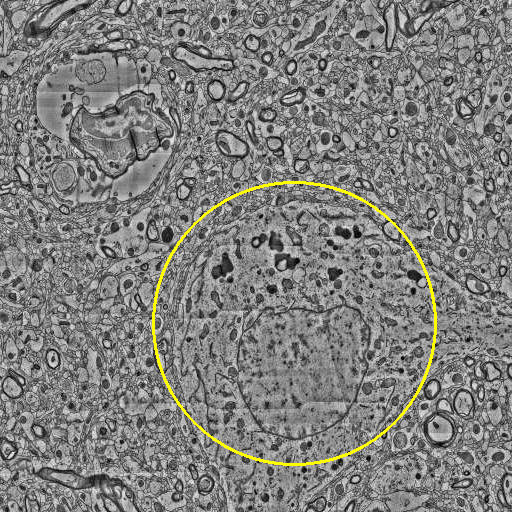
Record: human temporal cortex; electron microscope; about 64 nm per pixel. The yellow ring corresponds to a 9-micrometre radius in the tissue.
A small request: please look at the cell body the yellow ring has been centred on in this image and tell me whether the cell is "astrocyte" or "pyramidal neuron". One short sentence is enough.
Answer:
The cell marked by the ring is a pyramidal neuron.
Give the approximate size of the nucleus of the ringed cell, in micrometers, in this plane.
The ringed cell's nucleus is about 10 micrometres long and 8 micrometres wide in this plane.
